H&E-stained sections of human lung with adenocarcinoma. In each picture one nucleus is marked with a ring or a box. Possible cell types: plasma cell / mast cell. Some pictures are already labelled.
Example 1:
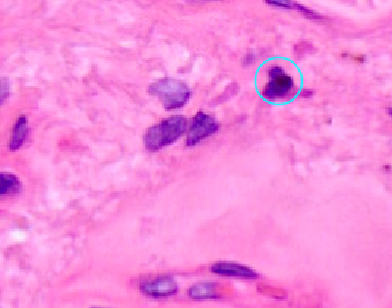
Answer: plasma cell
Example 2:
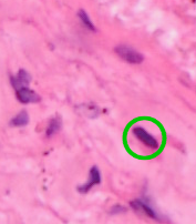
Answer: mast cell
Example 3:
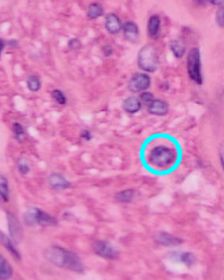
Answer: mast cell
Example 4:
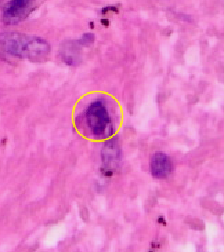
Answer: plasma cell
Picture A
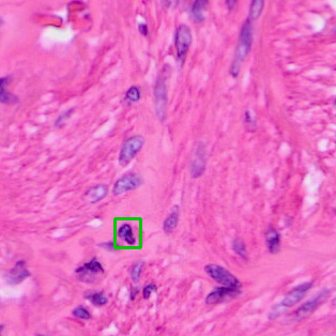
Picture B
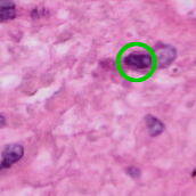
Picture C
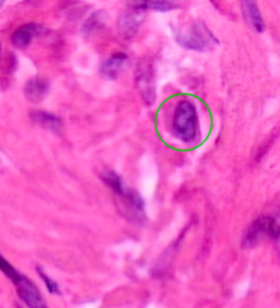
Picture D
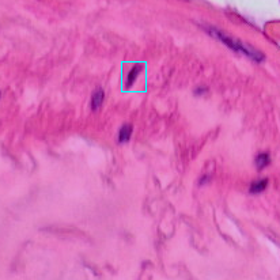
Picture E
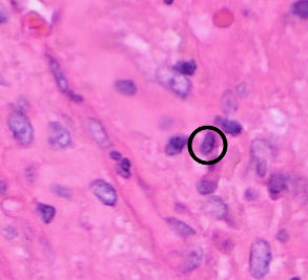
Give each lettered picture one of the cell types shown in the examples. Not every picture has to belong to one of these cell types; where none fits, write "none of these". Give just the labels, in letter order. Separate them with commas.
mast cell, plasma cell, plasma cell, none of these, plasma cell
